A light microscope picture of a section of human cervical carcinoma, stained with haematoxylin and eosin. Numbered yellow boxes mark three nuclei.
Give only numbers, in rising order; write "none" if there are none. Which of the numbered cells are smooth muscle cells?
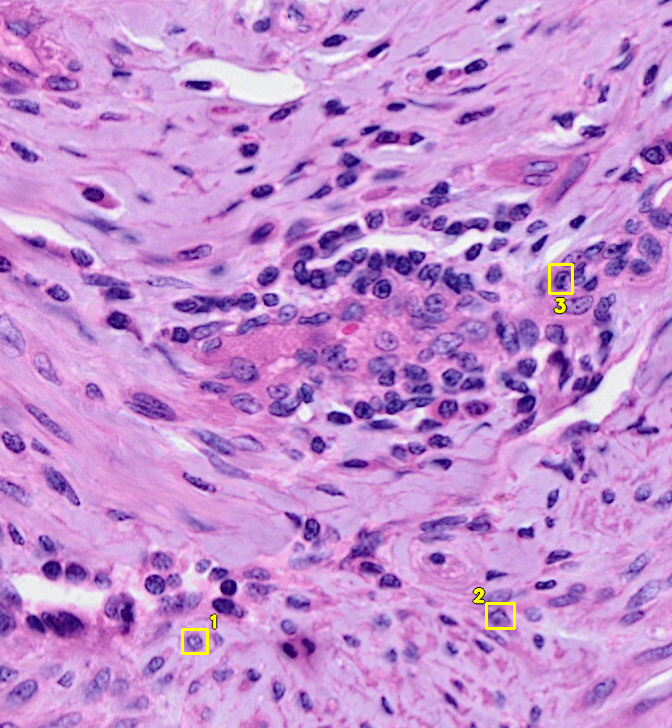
1, 2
